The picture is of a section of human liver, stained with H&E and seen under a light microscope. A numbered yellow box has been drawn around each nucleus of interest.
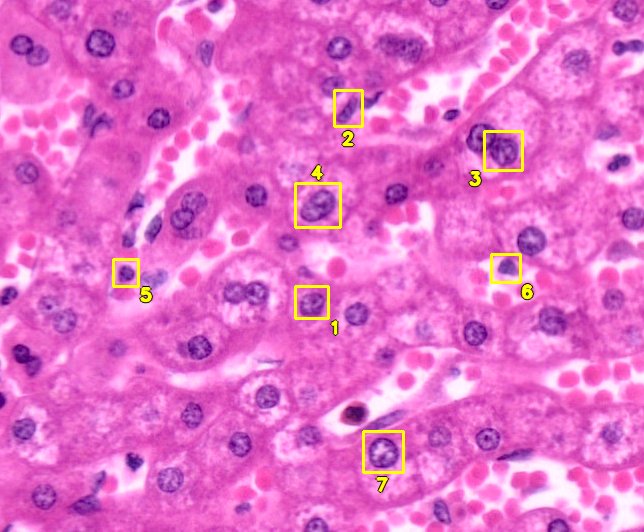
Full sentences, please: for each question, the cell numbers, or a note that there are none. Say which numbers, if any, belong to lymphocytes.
Within the section, cells numbered 5 and 6 are lymphocytes.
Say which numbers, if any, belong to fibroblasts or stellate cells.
Whereas cell 2 is a fibroblast or stellate cell, the other numbered cells are not.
